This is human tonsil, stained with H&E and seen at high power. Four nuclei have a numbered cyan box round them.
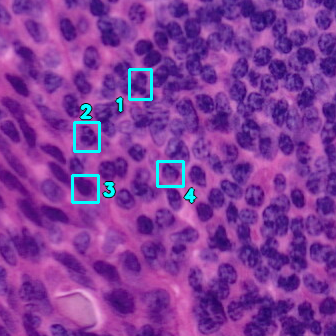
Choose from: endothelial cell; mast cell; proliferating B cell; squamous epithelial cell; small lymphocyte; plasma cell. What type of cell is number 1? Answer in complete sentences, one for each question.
The cell carrying label 1 is identified as a small lymphocyte.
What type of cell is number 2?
Cell 2 should be recorded as a plasma cell.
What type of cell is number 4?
Here the cell numbered 4 is a plasma cell.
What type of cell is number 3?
Cell 3 in the field of view is a squamous epithelial cell.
